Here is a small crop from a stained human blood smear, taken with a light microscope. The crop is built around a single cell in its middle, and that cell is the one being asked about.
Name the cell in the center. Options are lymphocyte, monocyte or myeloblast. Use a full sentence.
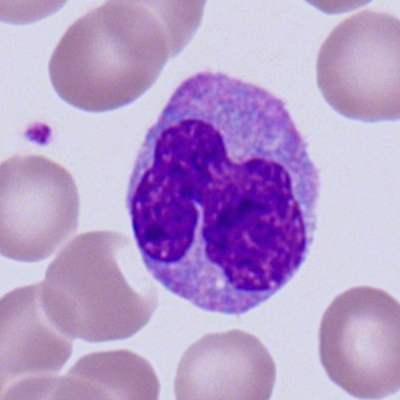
At the middle of the frame sits a monocyte.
